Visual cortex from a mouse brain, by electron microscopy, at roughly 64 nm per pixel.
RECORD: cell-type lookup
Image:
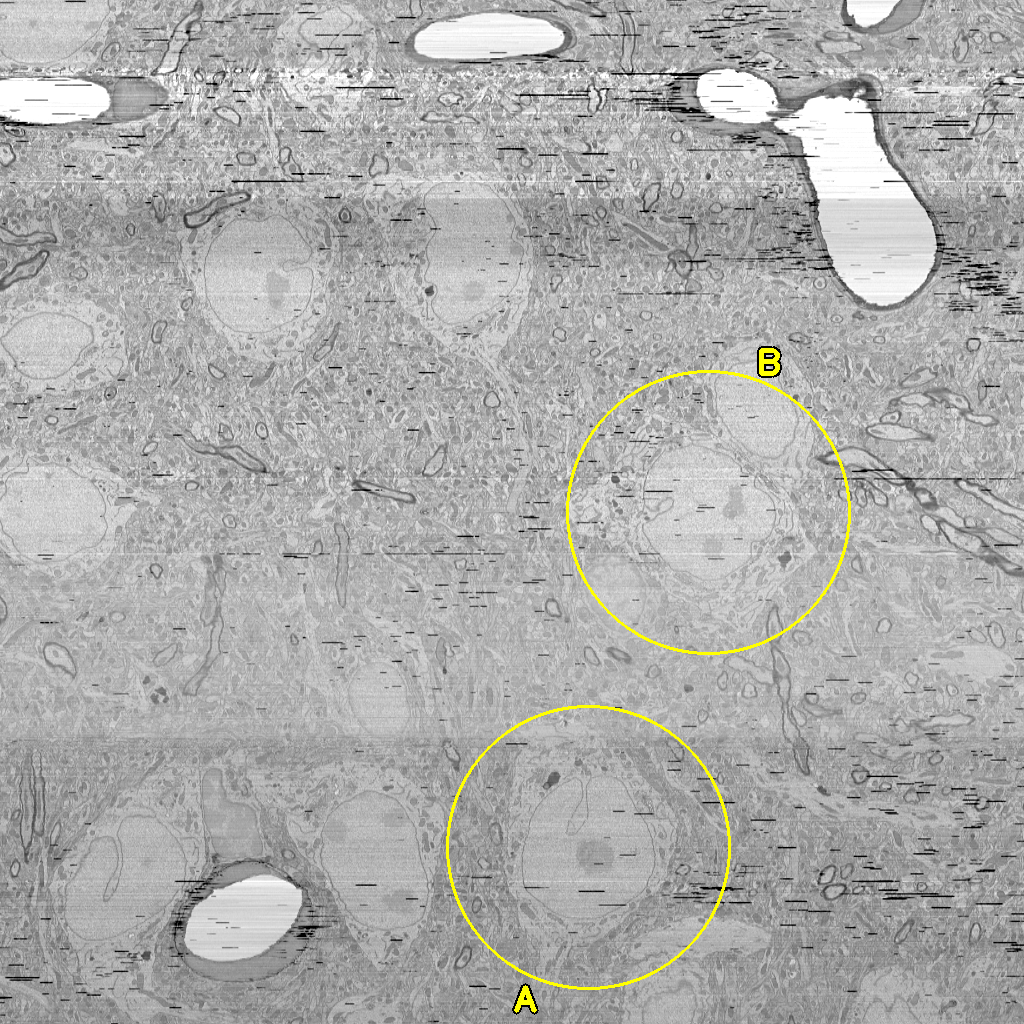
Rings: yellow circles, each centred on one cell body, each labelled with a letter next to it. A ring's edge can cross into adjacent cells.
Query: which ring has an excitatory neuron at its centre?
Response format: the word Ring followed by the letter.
Ring A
